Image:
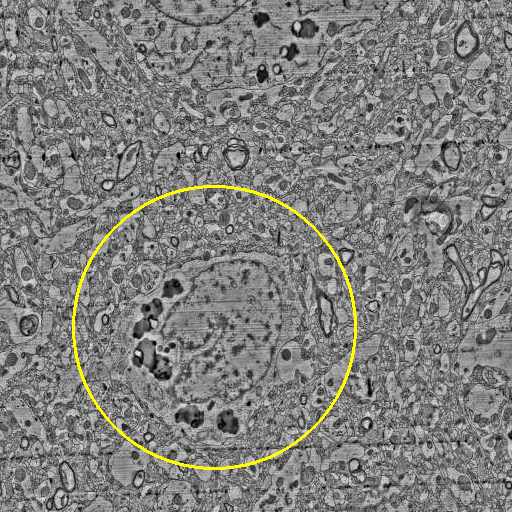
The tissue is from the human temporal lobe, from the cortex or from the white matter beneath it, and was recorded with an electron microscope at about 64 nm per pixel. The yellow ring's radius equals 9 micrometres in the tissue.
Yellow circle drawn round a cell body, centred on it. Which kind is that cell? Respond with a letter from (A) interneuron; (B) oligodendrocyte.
A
